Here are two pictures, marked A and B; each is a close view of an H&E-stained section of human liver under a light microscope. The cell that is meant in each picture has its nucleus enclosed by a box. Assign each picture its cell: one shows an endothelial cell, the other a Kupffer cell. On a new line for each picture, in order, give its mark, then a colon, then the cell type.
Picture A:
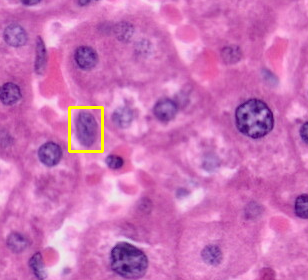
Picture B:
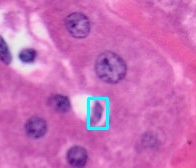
A: Kupffer cell
B: endothelial cell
